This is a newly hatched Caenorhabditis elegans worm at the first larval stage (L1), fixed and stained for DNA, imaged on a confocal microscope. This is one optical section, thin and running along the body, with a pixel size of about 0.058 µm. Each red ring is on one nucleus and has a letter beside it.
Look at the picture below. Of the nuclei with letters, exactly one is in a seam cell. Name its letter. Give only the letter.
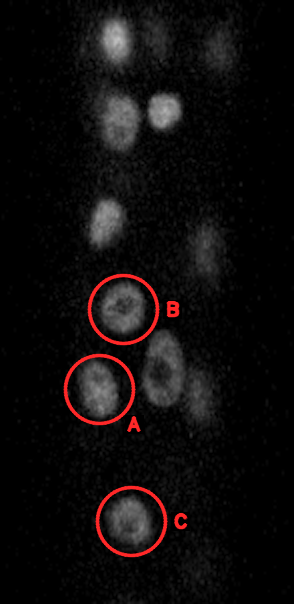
B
